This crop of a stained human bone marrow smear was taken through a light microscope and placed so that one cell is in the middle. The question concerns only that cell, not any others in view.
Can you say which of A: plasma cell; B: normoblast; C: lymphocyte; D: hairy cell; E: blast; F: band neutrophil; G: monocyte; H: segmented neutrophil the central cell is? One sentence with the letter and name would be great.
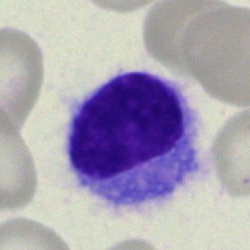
Since the cell in the middle is a hairy cell, option D is correct.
